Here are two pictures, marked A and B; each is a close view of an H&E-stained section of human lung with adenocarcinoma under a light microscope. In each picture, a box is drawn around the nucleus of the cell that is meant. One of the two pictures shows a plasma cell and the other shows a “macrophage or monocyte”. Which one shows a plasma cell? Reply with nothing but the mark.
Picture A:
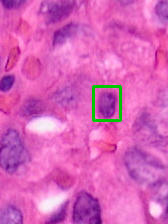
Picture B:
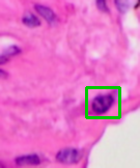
B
